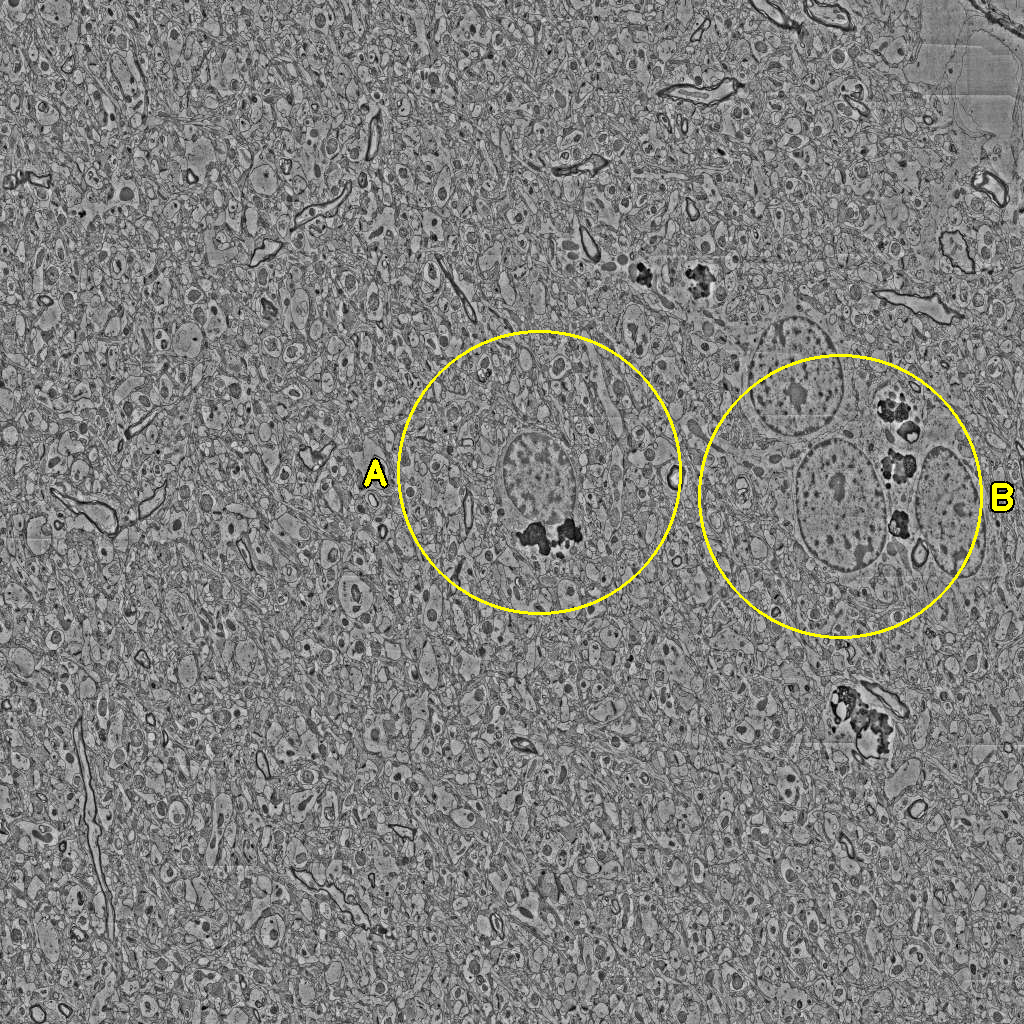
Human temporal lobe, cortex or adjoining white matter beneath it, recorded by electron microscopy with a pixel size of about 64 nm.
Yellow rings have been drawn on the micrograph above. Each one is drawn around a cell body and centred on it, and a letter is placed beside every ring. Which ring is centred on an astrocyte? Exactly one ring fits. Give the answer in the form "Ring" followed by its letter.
Ring B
